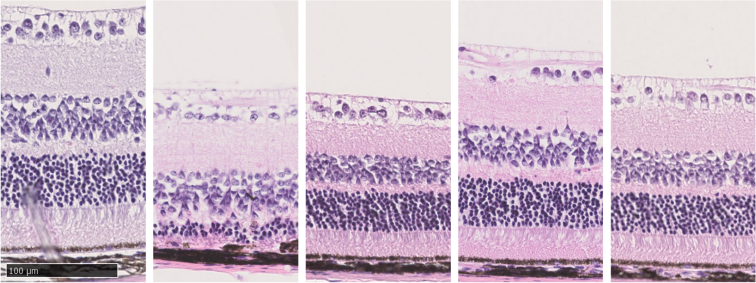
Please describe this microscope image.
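In most sections the outer nuclear layer is a thick band of densely packed small dark nuclei, with a pale striated photoreceptor layer beneath it. One section, second from the left, stands out: its outer nuclear layer is reduced to a thin, irregular band of a few rows of nuclei, and the pale photoreceptor layer below is largely missing. The dark pigmented band at the base is present in all sections, thicker and more irregular in some.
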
